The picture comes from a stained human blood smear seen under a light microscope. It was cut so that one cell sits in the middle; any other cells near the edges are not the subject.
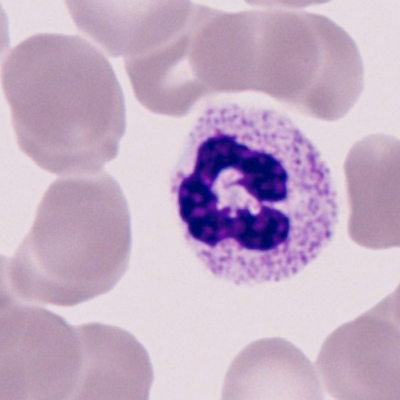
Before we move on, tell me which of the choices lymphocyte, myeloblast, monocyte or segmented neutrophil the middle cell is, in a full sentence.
Answering briefly, the cell in the middle is a segmented neutrophil.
